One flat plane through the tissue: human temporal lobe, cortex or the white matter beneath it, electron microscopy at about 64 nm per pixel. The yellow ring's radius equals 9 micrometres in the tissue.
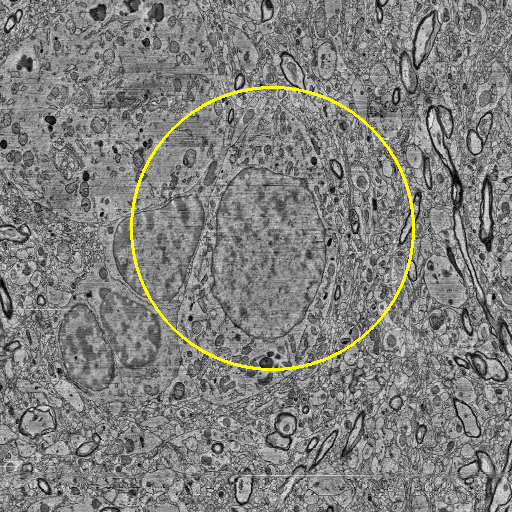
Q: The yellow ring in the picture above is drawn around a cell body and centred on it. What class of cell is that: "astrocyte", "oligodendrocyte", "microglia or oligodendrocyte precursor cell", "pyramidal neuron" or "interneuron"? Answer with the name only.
interneuron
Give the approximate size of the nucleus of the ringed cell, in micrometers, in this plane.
In this plane the nucleus measures roughly 12 by 8 micrometres.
